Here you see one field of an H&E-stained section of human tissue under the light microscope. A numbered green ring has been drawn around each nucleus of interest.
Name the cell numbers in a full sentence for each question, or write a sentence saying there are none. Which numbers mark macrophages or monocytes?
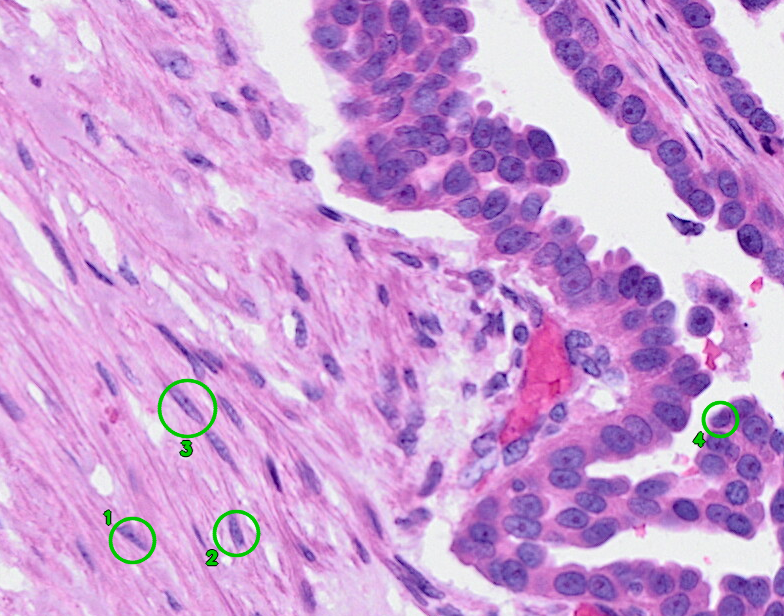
In this section, none of the numbered cells are macrophages or monocytes.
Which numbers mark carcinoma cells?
Where the numbered cells are concerned, only number 4 is a carcinoma cell.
